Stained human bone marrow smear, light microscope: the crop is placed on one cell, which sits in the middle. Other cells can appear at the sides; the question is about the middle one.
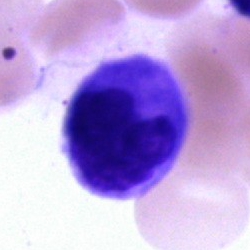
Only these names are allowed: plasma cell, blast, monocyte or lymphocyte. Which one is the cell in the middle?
monocyte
